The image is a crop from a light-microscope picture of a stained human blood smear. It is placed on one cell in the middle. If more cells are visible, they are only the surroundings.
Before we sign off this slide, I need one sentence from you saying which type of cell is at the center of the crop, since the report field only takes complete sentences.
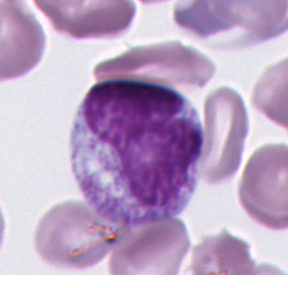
As for the cell in the middle, it is a metamyelocyte.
